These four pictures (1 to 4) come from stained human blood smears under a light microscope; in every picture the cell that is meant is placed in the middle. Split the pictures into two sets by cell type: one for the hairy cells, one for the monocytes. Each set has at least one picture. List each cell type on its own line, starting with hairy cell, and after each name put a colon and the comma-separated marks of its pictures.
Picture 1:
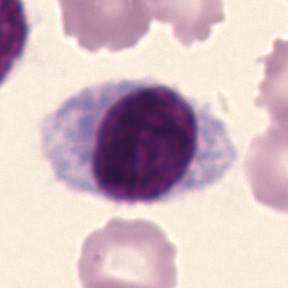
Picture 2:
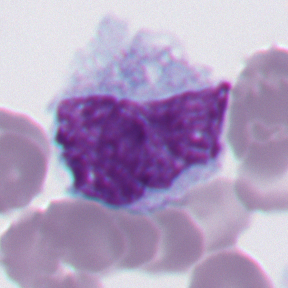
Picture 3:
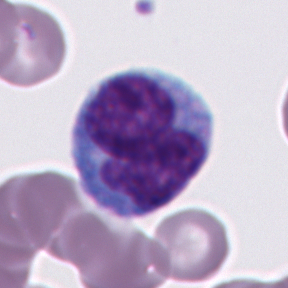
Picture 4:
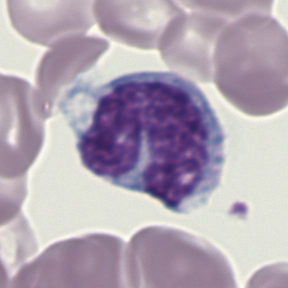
hairy cell: 1
monocyte: 2, 3, 4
